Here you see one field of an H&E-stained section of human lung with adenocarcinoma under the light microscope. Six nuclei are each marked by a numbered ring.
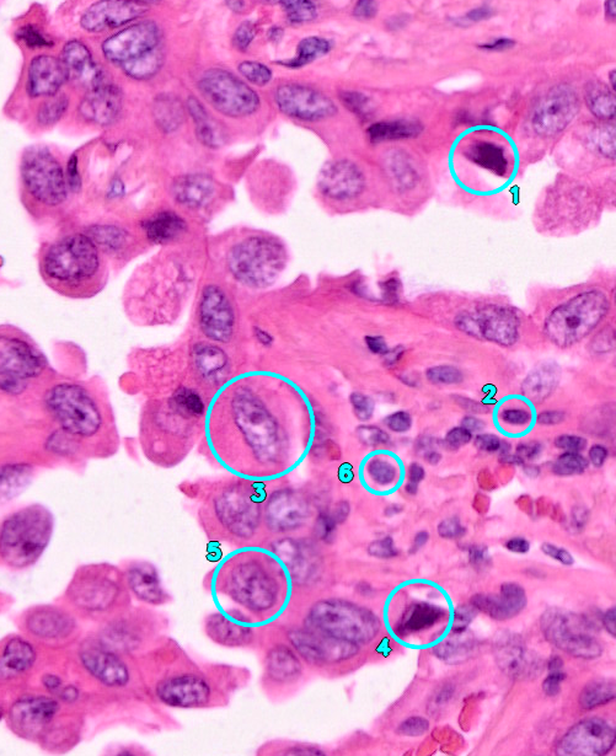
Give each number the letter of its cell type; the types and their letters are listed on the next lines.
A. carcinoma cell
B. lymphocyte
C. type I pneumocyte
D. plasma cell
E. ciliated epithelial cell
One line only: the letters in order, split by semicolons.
A; B; A; A; A; B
